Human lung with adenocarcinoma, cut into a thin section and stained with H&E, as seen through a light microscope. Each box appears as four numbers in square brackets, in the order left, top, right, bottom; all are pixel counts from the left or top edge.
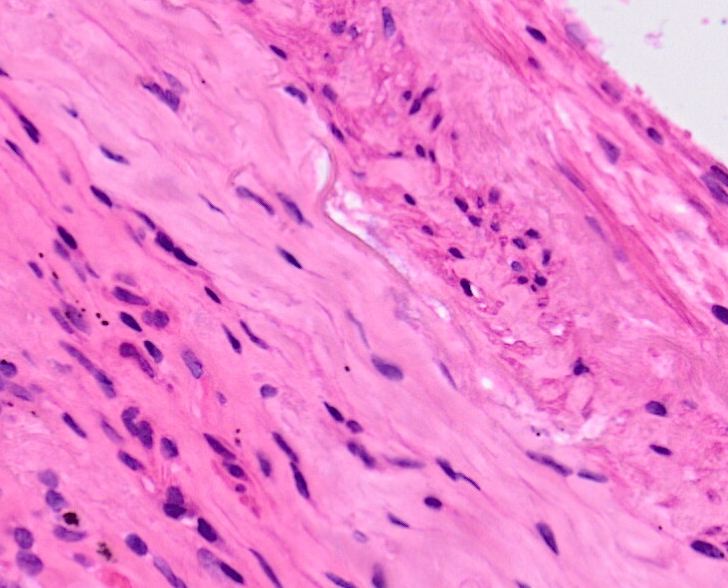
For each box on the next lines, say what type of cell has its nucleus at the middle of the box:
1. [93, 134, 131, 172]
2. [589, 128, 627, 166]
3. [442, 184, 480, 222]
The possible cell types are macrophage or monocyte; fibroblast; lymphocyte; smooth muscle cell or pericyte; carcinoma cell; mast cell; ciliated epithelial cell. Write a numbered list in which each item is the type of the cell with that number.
1. fibroblast
2. smooth muscle cell or pericyte
3. smooth muscle cell or pericyte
